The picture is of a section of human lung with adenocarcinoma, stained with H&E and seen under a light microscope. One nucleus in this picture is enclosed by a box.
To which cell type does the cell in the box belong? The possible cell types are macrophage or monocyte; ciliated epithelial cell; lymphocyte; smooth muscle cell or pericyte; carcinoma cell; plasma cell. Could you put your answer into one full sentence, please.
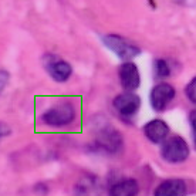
It is as a plasma cell that the cell in the box is classified.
